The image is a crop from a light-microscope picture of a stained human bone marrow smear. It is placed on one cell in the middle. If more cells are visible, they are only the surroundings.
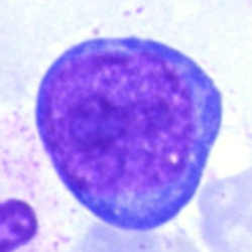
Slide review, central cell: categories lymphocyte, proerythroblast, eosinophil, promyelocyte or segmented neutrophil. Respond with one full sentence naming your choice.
The middle cell in this particular crop is a proerythroblast.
